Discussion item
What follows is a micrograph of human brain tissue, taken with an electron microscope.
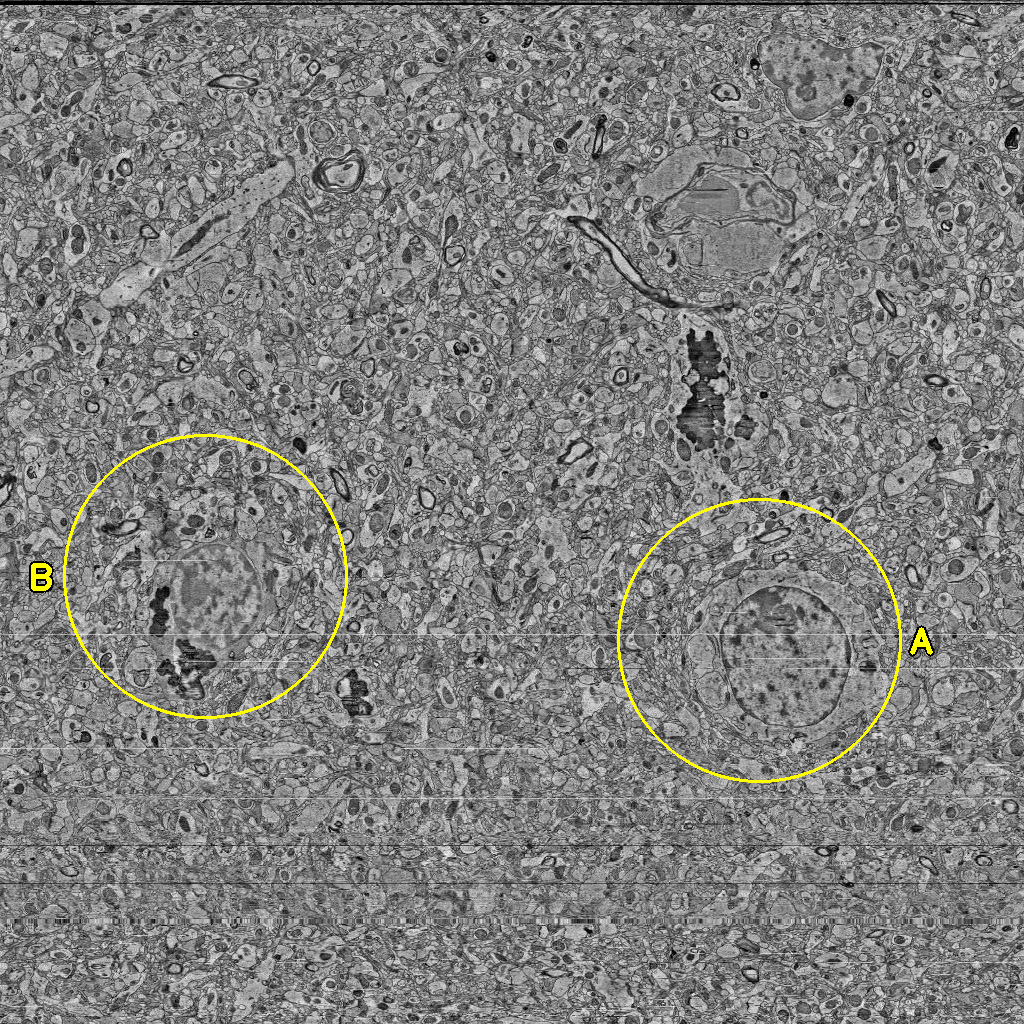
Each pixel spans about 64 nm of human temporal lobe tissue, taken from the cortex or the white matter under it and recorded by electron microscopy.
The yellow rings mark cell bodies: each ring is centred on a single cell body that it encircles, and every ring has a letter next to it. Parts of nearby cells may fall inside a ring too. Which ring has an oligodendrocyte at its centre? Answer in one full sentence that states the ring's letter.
Ring B is the ring whose centre falls on the cell the question asks about.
